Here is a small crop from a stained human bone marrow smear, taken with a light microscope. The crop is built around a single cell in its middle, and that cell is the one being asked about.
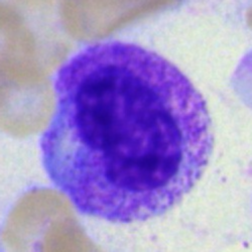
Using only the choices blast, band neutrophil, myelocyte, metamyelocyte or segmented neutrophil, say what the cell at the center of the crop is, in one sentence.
Of the cells in this crop, the central one is a metamyelocyte.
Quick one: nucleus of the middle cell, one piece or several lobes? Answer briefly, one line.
The nuclear material is gathered into one compact round, oval or kidney-shaped mass.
